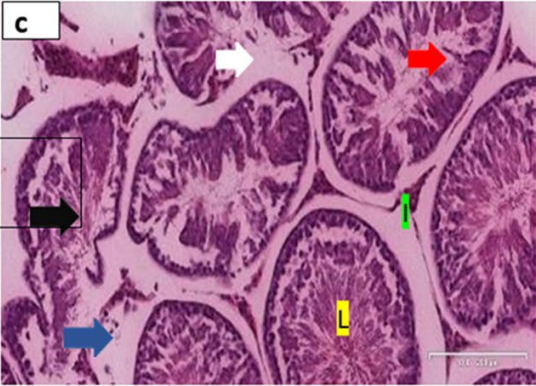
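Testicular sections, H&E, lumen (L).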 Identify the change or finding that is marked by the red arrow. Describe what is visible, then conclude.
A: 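Gaps lie among the cells toward the lumen. So: loss of germ cells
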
